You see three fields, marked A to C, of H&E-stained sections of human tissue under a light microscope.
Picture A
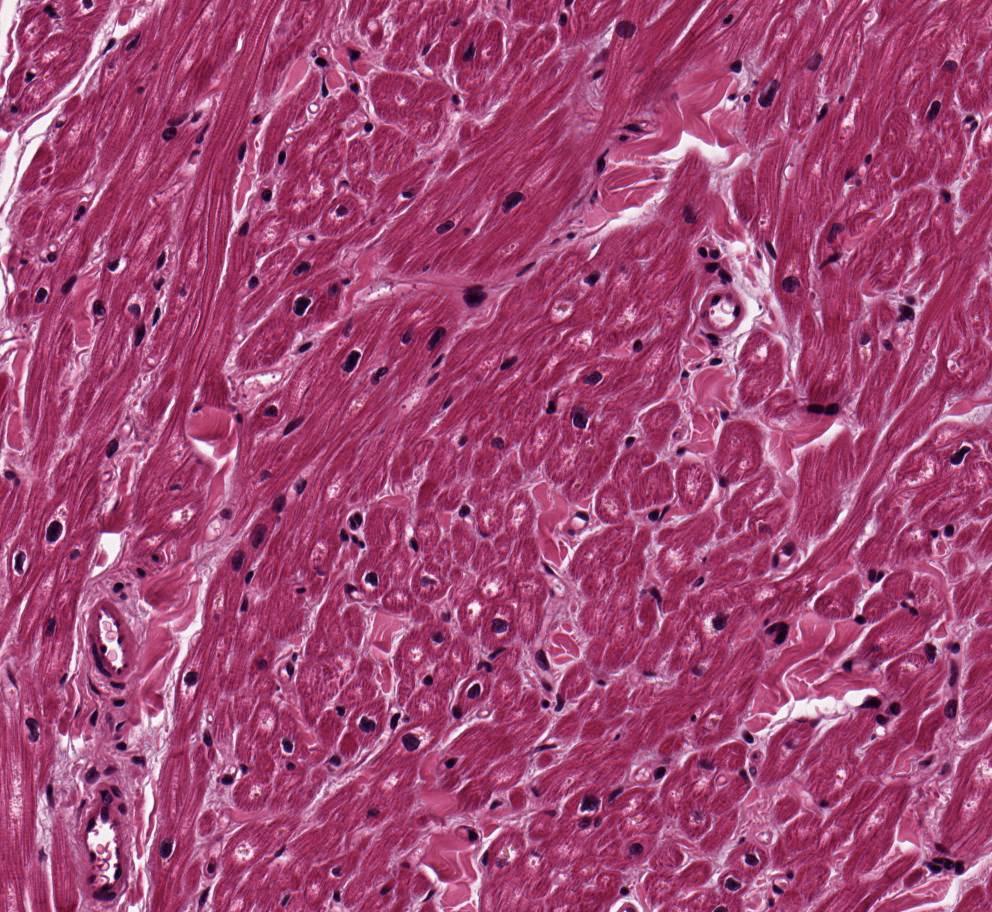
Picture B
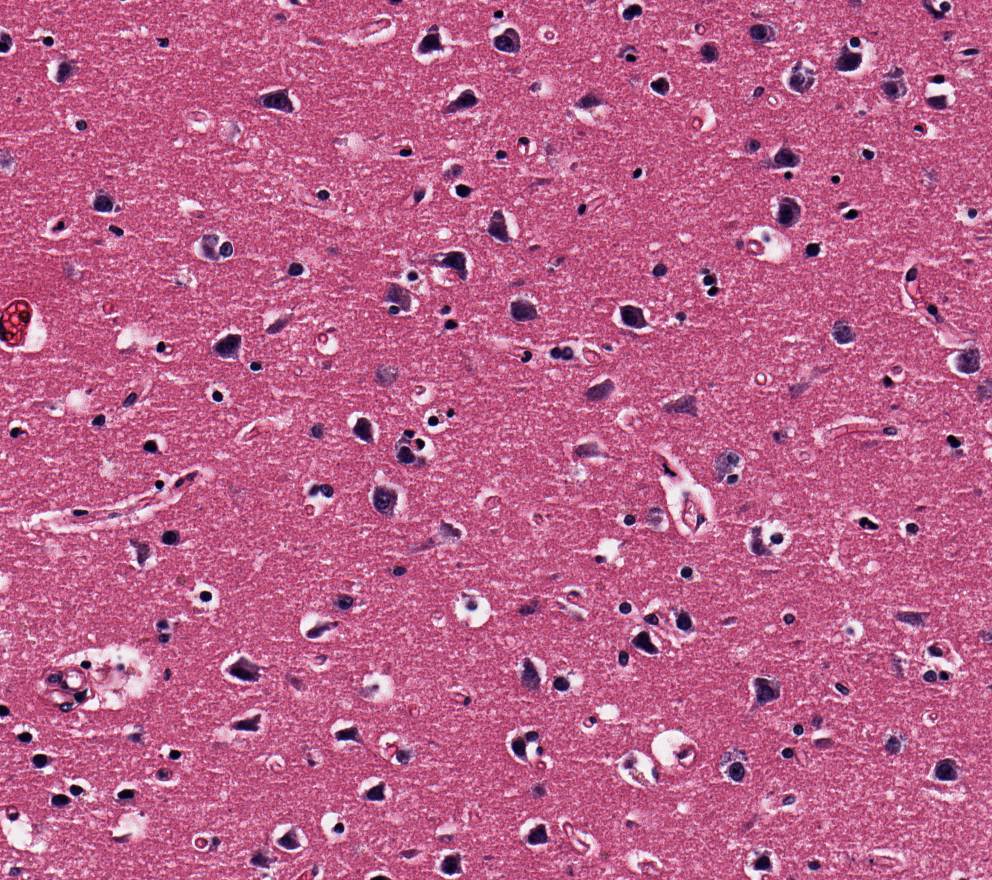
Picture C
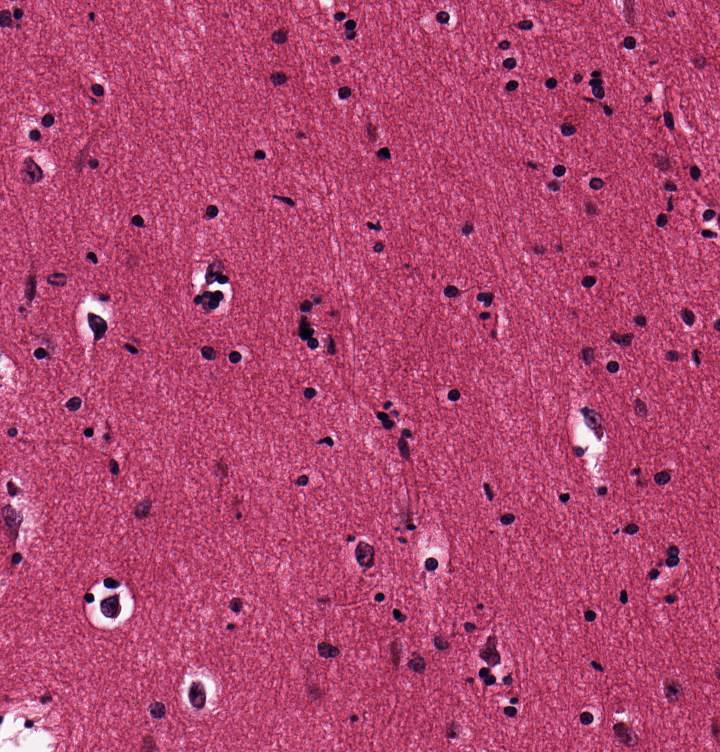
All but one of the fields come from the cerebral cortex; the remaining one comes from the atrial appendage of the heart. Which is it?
A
